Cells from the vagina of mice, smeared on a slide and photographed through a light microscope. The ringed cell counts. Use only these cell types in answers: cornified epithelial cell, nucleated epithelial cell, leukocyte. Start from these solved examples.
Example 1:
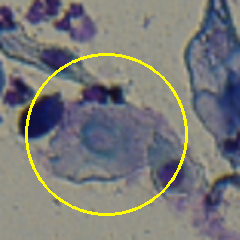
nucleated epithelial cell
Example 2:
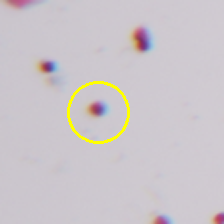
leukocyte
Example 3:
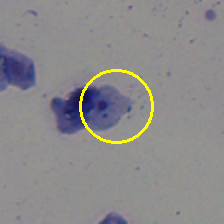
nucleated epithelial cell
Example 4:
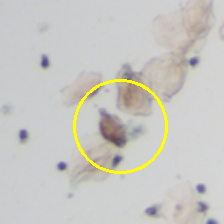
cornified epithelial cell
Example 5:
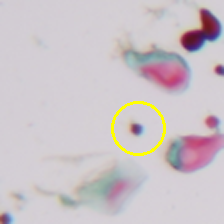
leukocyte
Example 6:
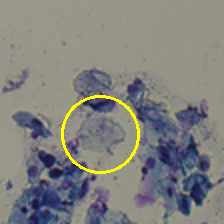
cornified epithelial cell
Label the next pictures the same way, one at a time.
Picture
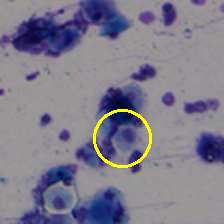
nucleated epithelial cell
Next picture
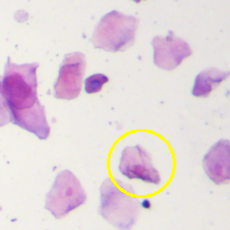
cornified epithelial cell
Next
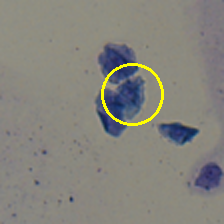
cornified epithelial cell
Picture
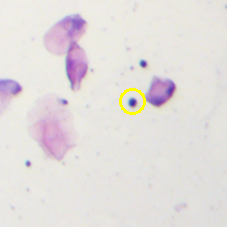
leukocyte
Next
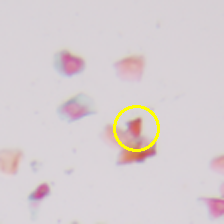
cornified epithelial cell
